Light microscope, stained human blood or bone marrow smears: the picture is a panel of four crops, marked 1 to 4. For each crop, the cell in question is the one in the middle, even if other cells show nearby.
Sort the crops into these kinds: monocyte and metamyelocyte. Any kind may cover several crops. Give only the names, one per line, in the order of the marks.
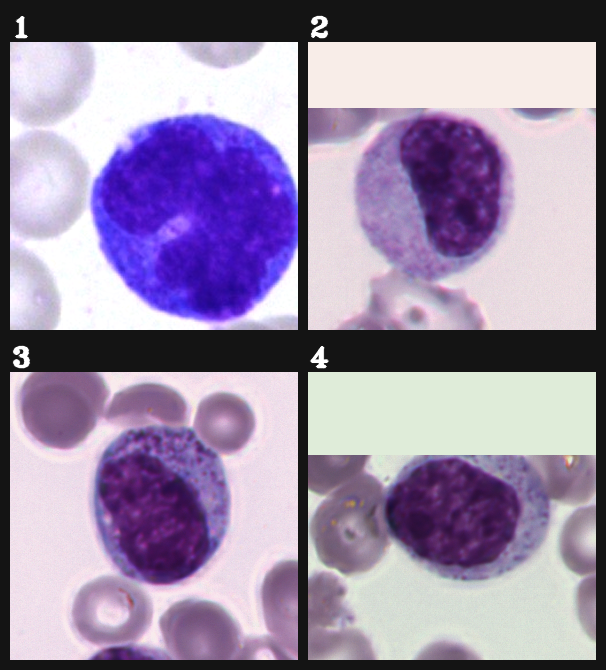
monocyte
metamyelocyte
metamyelocyte
metamyelocyte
